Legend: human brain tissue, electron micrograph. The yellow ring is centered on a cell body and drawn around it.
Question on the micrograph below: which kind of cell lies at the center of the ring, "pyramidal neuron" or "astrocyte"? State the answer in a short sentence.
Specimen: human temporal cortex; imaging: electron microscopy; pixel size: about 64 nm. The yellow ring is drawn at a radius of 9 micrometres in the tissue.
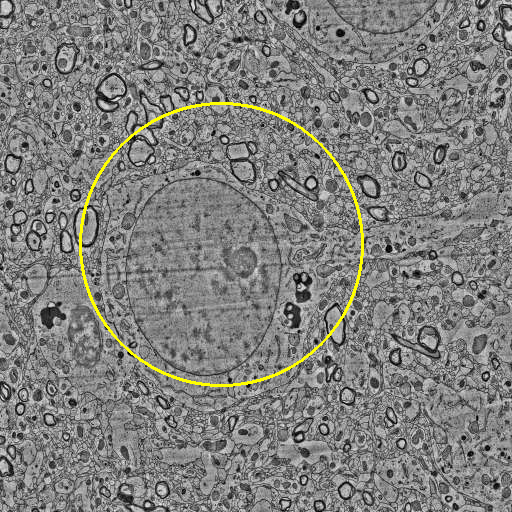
At the center of the ring lies a pyramidal neuron.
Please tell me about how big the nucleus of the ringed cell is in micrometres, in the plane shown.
Roughly 13 micrometres by 10 micrometres, in this plane.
